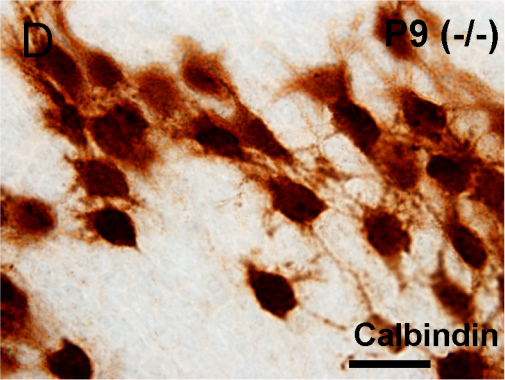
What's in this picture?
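This is cerebellar tissue showing Purkinje cells stained dark brown on a pale background, arranged abnormally. The large oval to flask-shaped cell bodies do not form a single row; they lie scattered at different depths, some clustered together and others isolated in the lower part of the field. Their processes are short, thick and irregular, giving tangled, patchy brown fibres rather than a regular branching tree on one side. The cell bodies stain intensely and uniformly, obscuring nuclei, and some appear rounded or misoriented.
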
